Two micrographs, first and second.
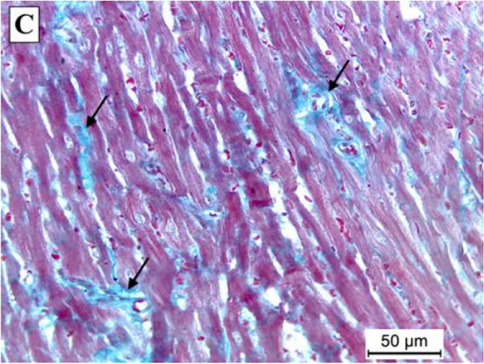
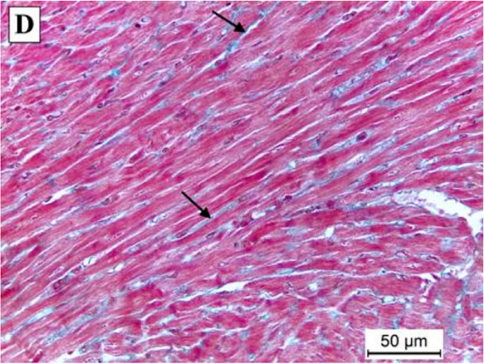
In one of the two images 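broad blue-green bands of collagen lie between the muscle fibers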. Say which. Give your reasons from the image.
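The first image. Second image: only faint, thin blue-green lines between tightly packed red fibers. First image: wide blue-green streaks and patches fill spaces between paler fibers.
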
